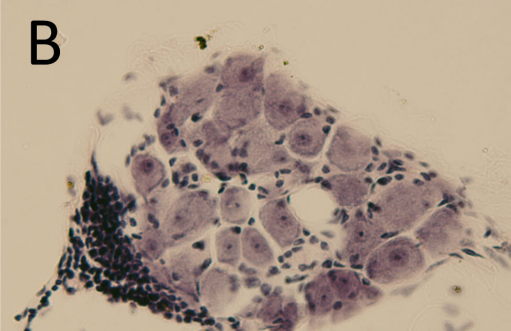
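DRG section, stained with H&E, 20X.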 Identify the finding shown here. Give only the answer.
Leukocyte infiltration.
